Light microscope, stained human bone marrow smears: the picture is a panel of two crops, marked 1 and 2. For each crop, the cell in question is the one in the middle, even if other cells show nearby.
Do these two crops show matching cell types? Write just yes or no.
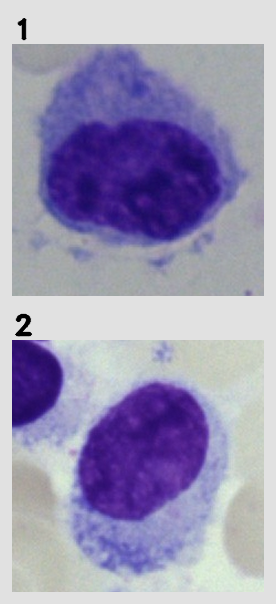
yes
